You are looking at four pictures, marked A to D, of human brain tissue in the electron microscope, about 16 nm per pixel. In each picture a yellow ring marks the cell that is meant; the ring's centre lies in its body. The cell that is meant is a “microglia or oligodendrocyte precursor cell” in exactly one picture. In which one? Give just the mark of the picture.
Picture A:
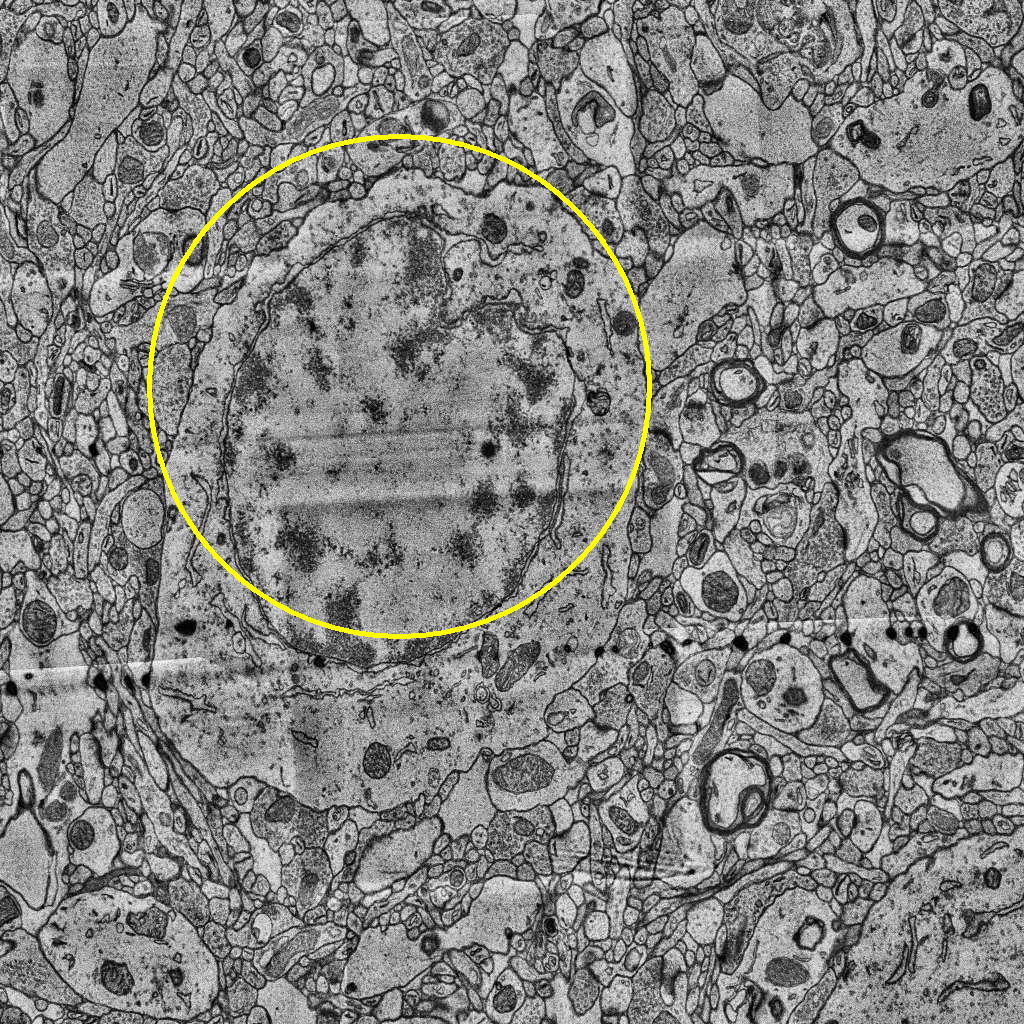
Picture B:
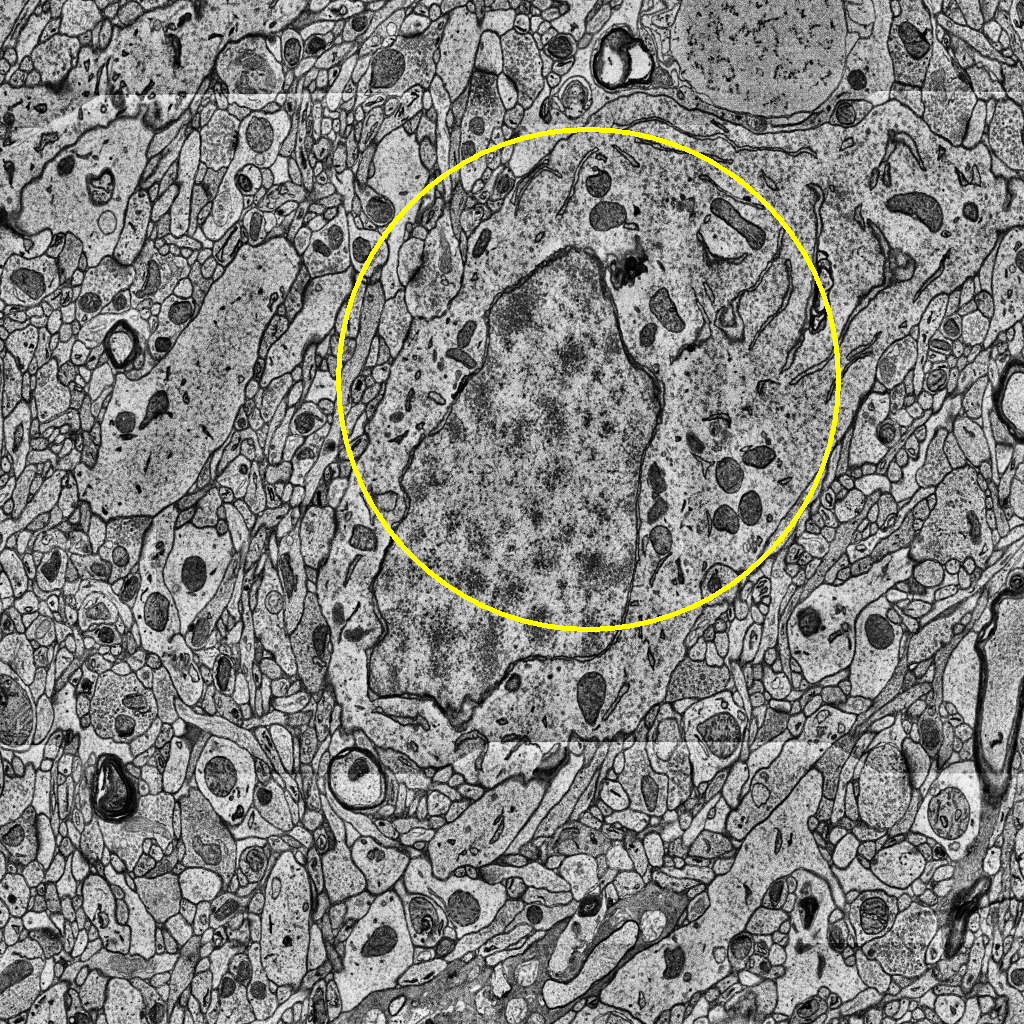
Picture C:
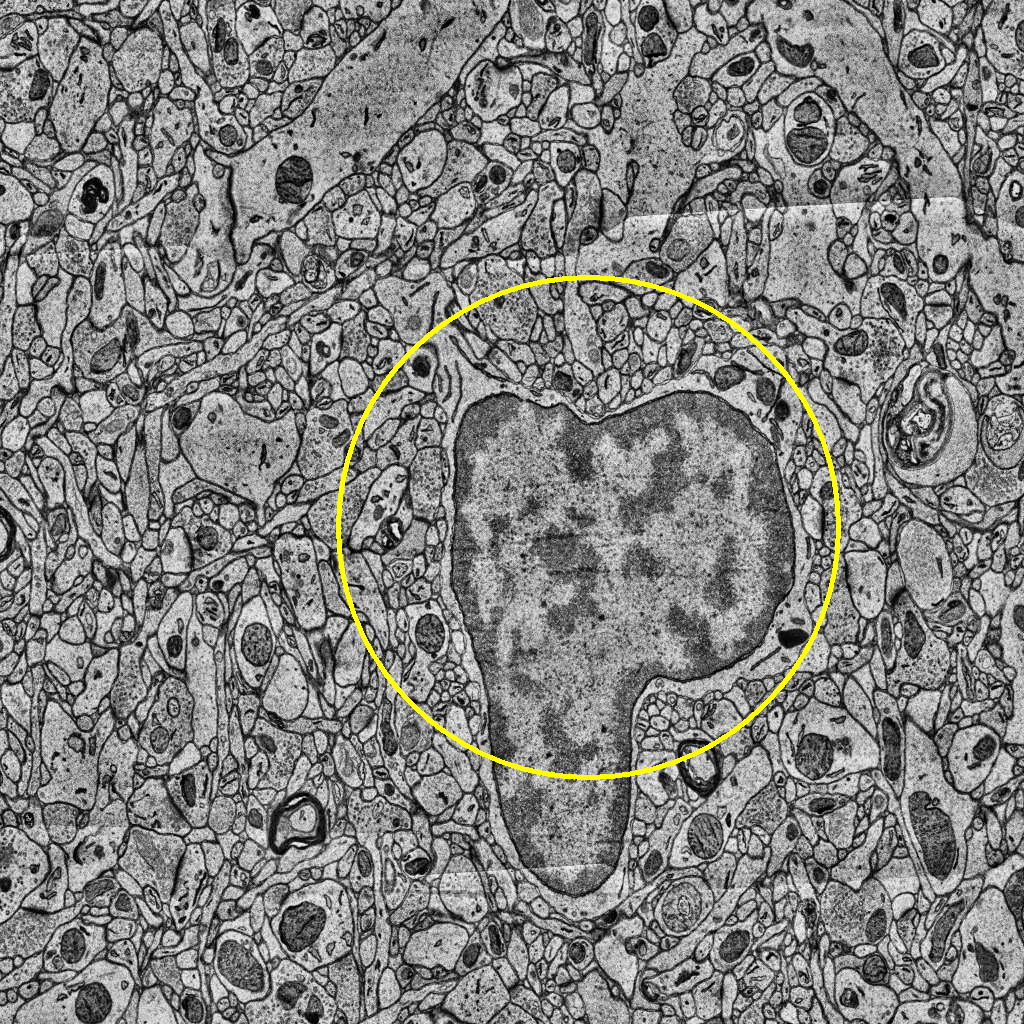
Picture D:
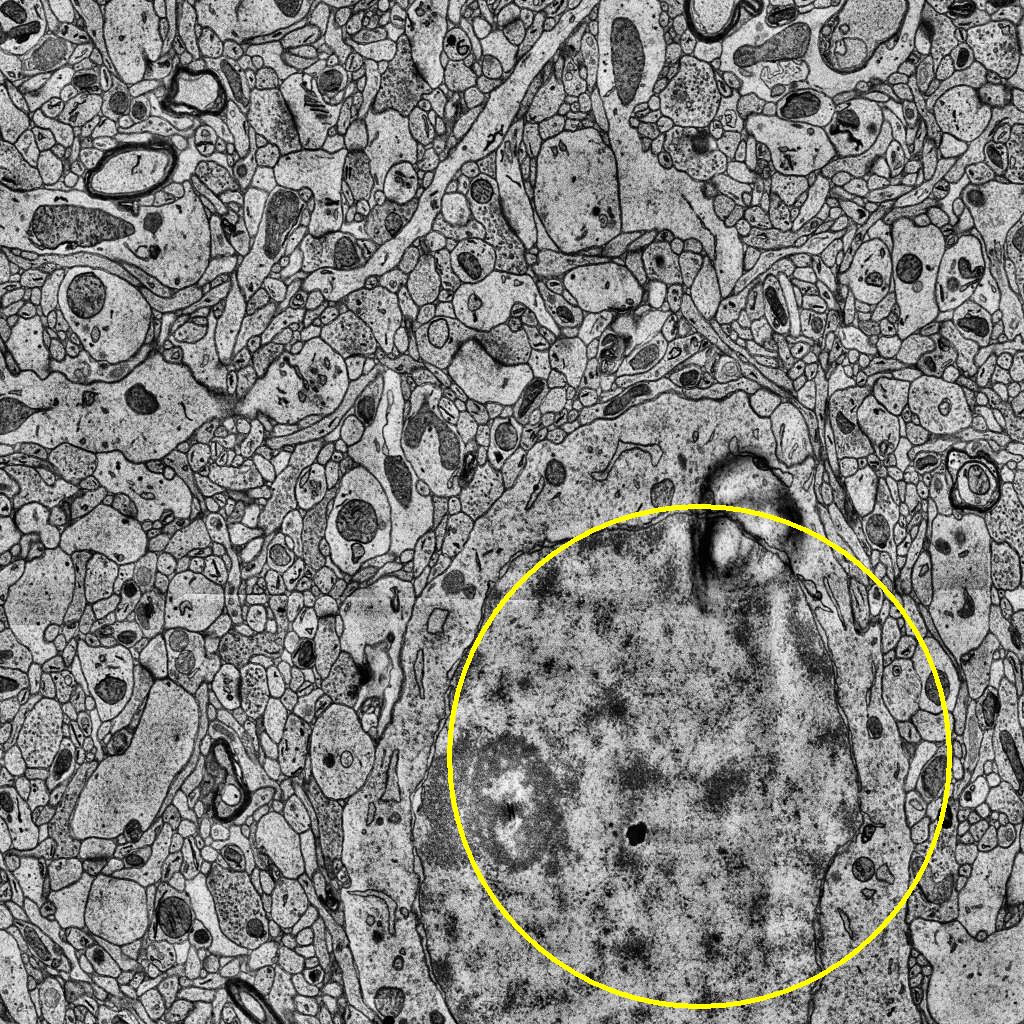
C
